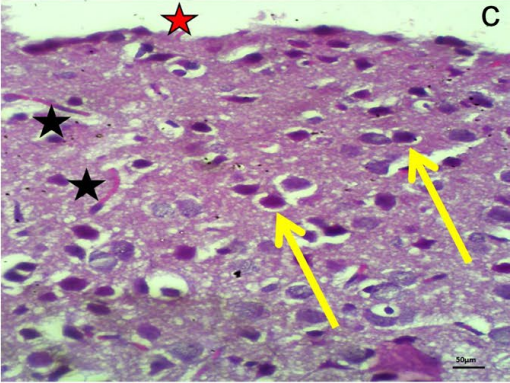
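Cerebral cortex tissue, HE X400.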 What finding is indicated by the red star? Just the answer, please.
erosion in pia matter layer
